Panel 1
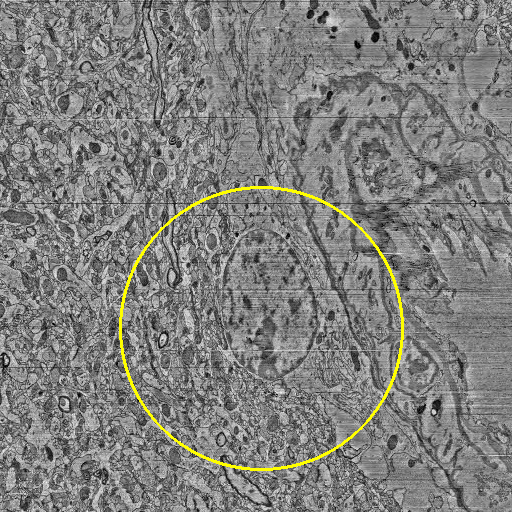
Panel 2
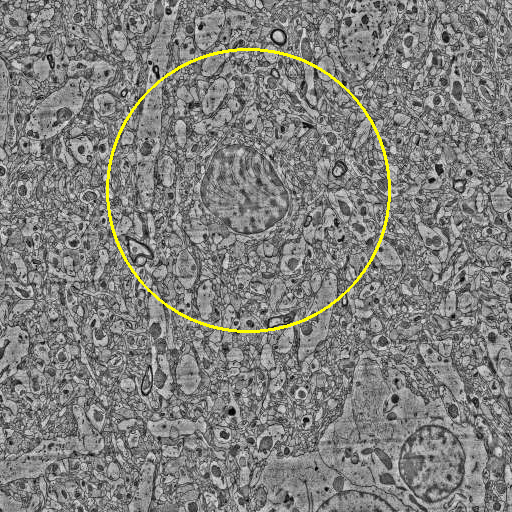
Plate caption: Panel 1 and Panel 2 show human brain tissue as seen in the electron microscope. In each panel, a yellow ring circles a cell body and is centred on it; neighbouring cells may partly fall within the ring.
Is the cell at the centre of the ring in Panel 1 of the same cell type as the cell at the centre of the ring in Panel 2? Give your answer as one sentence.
No, the two cells are of two types.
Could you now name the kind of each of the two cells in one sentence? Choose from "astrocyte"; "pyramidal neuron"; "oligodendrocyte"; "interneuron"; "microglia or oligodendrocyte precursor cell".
The first ring encloses an astrocyte; the second ring encloses a microglial cell or oligodendrocyte precursor cell.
